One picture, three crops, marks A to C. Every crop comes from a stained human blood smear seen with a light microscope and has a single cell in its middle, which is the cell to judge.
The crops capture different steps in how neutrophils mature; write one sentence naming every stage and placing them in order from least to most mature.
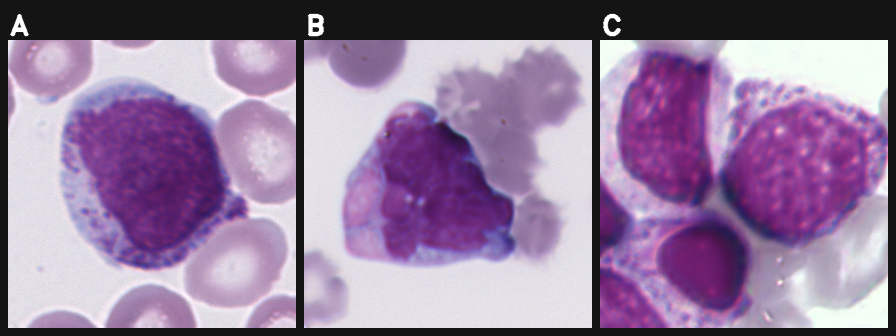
In sequence of increasing maturity, the order is crop B (a myeloblast), crop A (a promyelocyte) and crop C (a myelocyte).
